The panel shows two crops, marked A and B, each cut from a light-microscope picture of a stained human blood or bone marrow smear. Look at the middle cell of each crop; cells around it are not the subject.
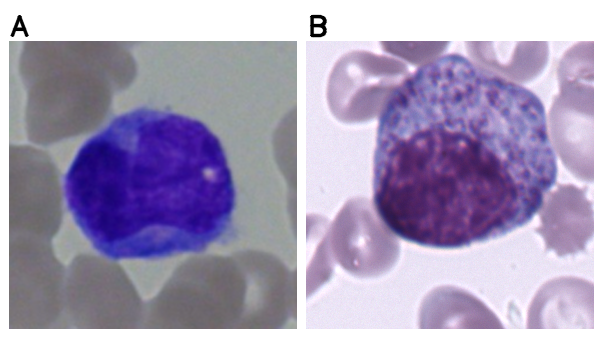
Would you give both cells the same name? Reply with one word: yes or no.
no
